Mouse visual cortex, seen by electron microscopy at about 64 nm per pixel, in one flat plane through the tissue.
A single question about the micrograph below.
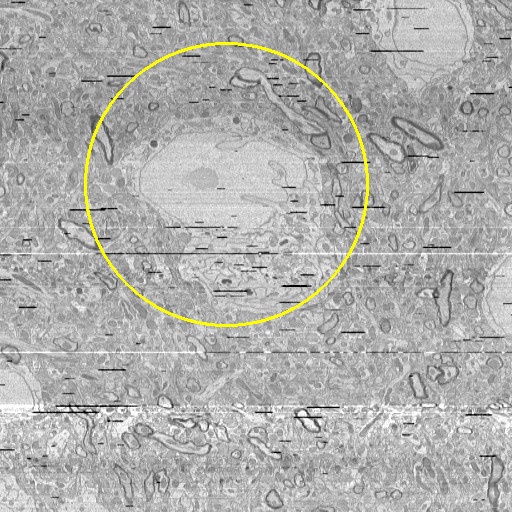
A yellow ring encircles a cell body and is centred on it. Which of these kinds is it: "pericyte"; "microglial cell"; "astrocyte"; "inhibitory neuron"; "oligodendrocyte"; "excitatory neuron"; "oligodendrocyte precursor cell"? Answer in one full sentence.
The cell body at the centre of the yellow ring belongs to an excitatory neuron.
